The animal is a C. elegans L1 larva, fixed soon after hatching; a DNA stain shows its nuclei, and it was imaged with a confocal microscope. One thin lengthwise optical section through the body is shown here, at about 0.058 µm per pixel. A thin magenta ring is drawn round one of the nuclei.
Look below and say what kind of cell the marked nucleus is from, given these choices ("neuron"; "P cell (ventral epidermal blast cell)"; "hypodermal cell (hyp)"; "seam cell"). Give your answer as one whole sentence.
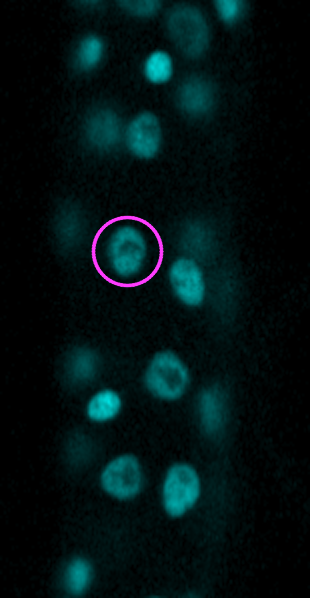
The marked cell is a hypodermal cell (hyp).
